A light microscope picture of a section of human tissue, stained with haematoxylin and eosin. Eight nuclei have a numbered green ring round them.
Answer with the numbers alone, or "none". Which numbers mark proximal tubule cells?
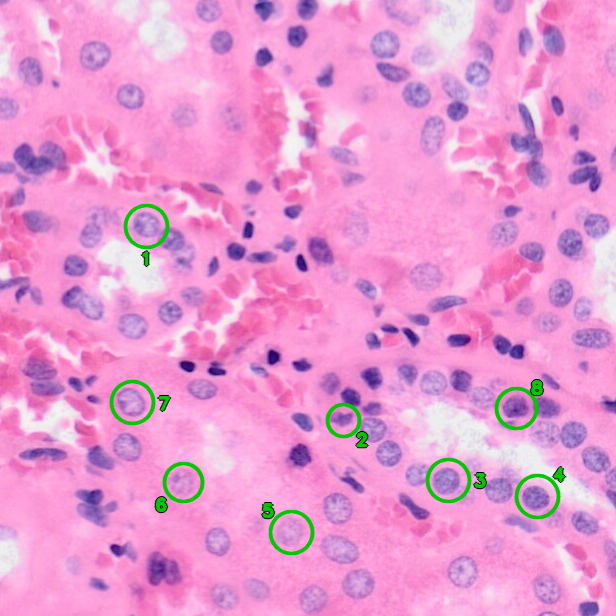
5, 6, 7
